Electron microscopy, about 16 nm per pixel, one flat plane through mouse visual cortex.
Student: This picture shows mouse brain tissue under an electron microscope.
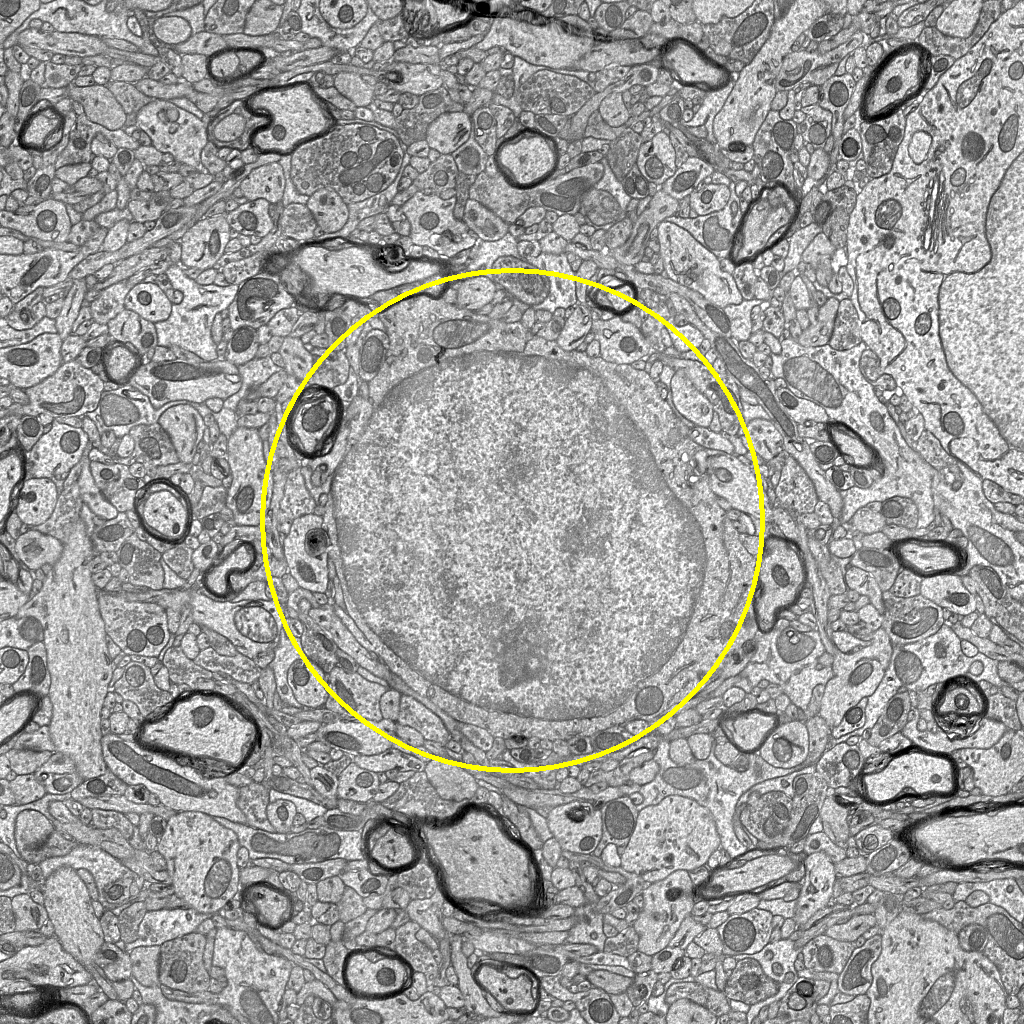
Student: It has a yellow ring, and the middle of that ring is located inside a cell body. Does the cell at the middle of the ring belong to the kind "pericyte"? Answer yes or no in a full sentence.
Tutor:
No, the cell at the middle of the ring in this picture is of another kind.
